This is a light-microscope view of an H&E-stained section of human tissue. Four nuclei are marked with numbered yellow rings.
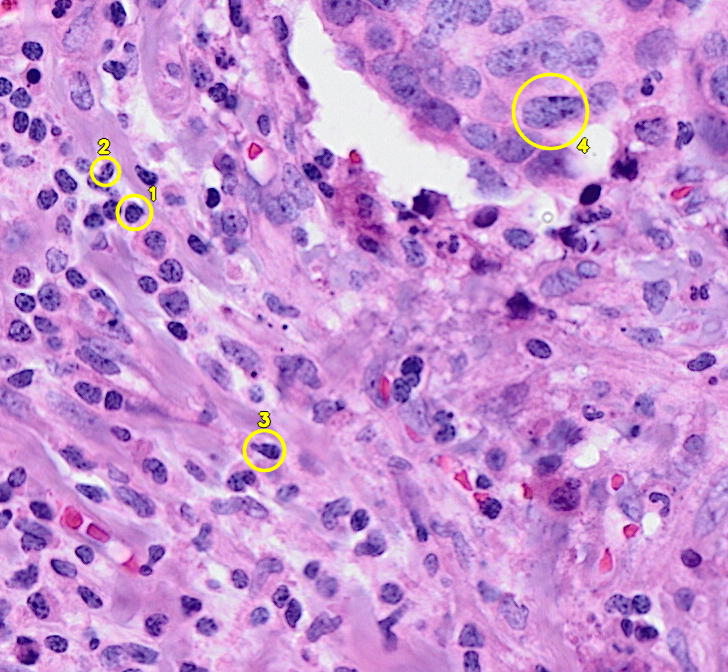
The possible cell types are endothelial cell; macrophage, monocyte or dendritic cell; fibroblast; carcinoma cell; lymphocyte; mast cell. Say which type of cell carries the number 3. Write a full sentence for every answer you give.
The correct answer for cell 3 is a lymphocyte.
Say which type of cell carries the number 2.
At number 2, the marked cell is a lymphocyte.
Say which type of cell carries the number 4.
Identified by the number 4, the cell is a carcinoma cell.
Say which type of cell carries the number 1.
The cell numbered 1 has been identified as a lymphocyte.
